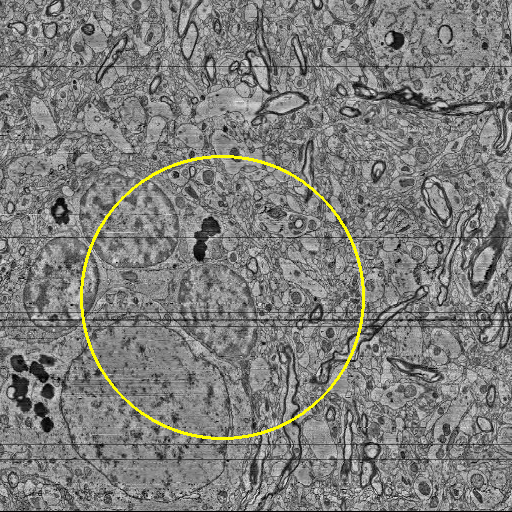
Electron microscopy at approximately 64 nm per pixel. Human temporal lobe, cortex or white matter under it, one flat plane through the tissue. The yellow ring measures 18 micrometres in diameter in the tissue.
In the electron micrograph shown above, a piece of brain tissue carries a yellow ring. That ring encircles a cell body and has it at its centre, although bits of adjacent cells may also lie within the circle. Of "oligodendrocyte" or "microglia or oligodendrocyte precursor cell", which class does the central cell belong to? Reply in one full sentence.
The cell body at the centre of the yellow ring belongs to an oligodendrocyte.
